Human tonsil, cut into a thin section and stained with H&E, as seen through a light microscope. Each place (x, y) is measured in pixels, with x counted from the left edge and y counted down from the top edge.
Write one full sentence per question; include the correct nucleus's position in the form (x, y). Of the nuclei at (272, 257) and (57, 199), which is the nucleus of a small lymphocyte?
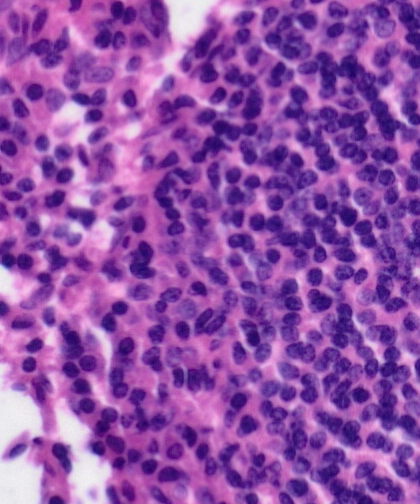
Heads up, the nucleus at (272, 257) is the one that belongs to a small lymphocyte.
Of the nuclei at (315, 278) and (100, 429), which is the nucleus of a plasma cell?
The nucleus at position (100, 429) belongs to a plasma cell.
